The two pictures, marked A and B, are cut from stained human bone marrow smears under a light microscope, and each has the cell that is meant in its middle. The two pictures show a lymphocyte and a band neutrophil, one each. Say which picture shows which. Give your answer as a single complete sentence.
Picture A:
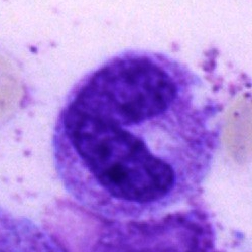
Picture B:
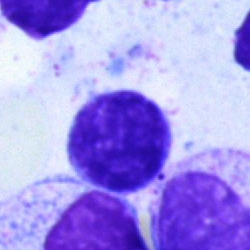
Picture A is of a band neutrophil, and picture B is of a lymphocyte.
